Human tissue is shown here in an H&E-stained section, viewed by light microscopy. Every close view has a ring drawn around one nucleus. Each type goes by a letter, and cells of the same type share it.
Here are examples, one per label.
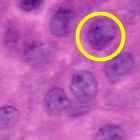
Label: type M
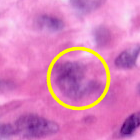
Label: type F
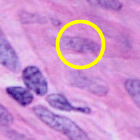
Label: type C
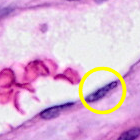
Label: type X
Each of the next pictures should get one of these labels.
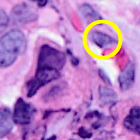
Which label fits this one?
type X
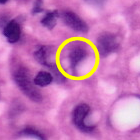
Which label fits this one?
type M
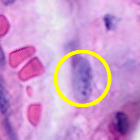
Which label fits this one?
type F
